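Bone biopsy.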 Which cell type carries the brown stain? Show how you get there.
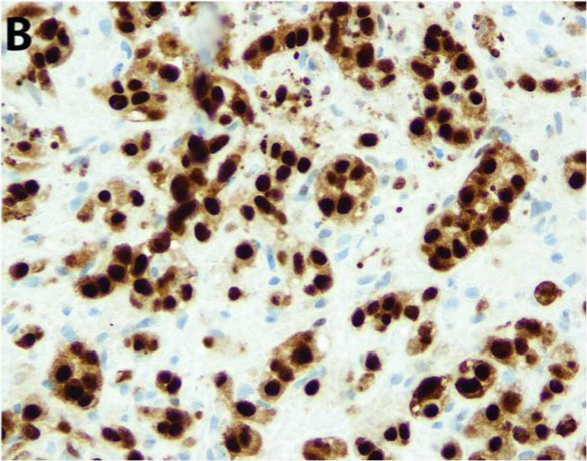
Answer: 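Dark brown staining lies in the nuclei of large cells grouped in clusters and cords. Surrounding small stromal cells have blue, unstained nuclei. So: endothelial cells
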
